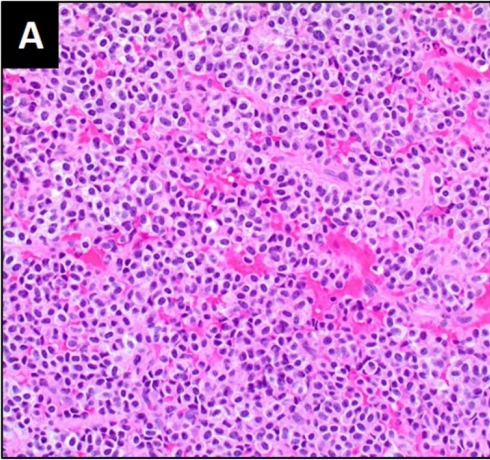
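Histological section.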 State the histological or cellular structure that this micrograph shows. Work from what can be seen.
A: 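Cells of nearly identical size and shape. Cells form sheets and cord-like rows between thin pink stromal strands. That points to this answer: cords and sheets of monotonous cells.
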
